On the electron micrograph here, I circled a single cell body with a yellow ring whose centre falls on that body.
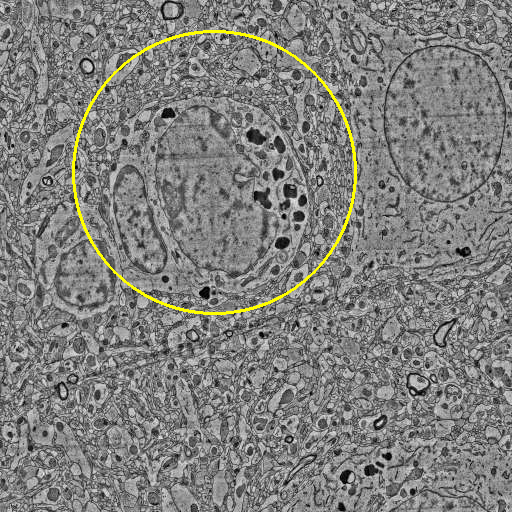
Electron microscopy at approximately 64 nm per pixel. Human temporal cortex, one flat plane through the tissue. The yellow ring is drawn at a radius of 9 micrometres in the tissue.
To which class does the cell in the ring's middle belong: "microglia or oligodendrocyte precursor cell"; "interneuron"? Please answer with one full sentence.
In this picture, the cell body circled at the ring's centre belongs to an interneuron.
